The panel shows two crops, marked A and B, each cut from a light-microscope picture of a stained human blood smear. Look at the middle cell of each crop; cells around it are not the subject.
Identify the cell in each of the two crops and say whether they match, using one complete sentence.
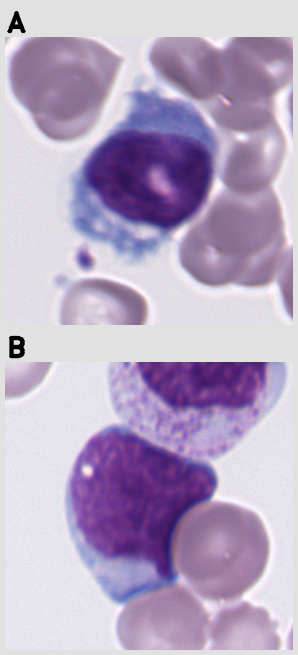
No, a monocyte is depicted by crop A, a blast by crop B.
